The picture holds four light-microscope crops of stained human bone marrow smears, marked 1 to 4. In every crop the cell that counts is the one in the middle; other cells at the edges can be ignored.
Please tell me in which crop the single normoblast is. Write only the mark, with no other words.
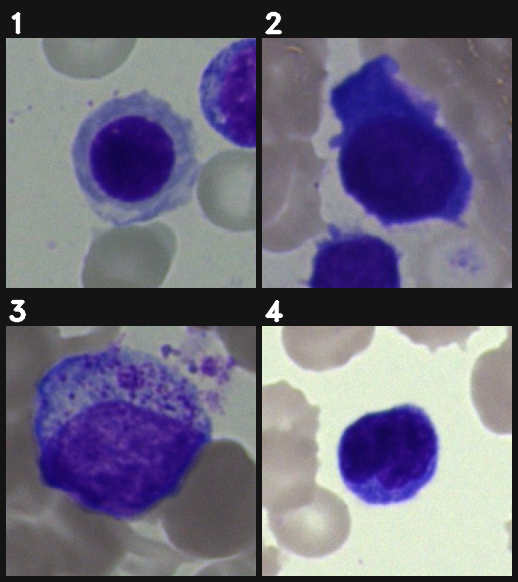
1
